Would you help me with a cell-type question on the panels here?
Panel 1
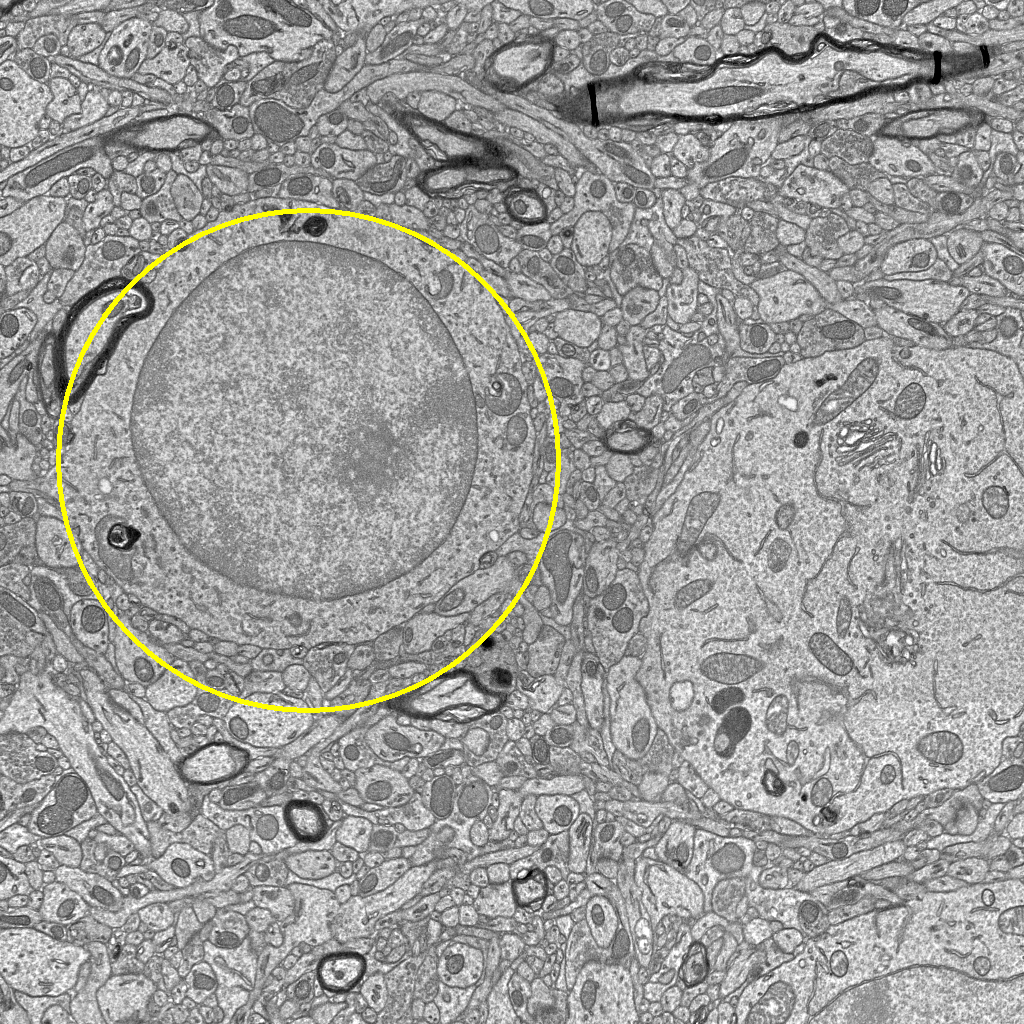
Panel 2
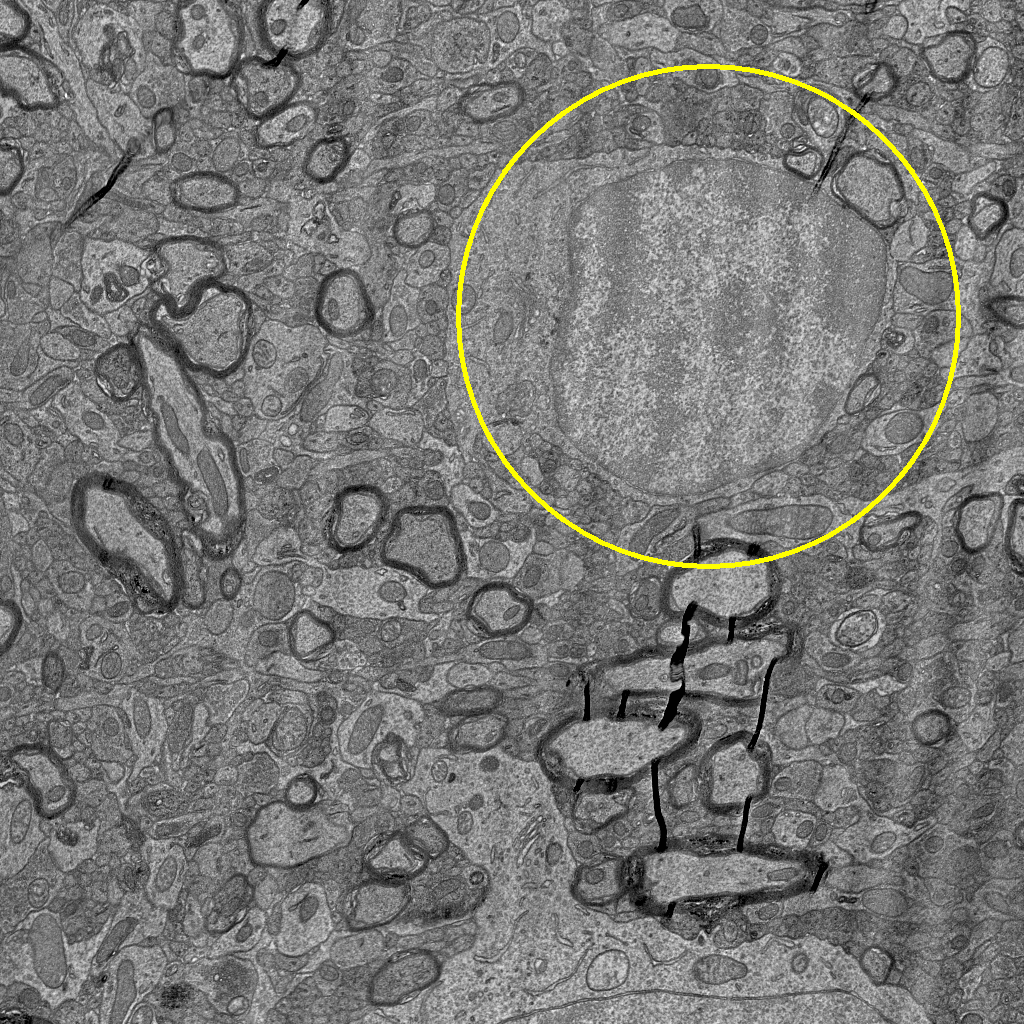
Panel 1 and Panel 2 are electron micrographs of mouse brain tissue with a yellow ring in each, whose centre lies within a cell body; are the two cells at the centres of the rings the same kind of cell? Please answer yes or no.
yes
